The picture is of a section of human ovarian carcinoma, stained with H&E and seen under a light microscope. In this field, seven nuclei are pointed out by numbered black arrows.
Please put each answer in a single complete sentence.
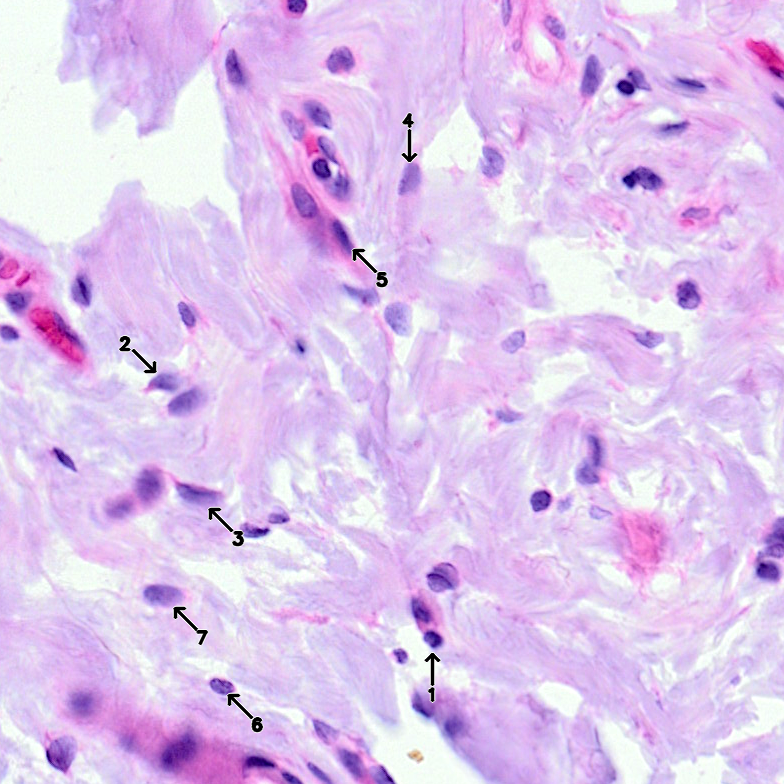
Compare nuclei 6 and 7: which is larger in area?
Nucleus 7 is the larger one, covering about 2.5 times the area of nucleus 6.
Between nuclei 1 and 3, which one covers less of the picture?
Number 1 is smaller, since number 3 takes up about 2.5 times as much area.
